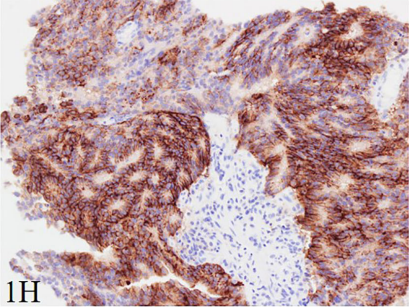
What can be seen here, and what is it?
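The brown colour lies along the cell borders and in the cytoplasm of the tumour cells, tracing a net around each cell in the glandular sheets. The staining is heavy in the large epithelial masses at left and right, while some tumour areas at the top are paler. The loose stroma in the middle with its spindle cells stays blue and unstained.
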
